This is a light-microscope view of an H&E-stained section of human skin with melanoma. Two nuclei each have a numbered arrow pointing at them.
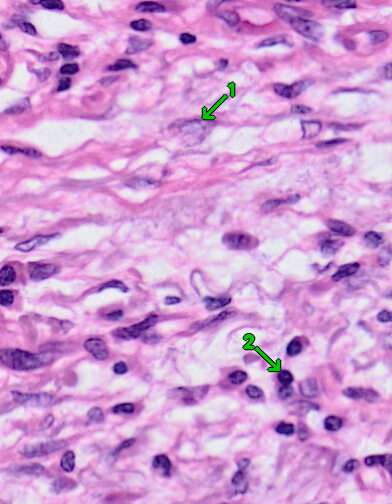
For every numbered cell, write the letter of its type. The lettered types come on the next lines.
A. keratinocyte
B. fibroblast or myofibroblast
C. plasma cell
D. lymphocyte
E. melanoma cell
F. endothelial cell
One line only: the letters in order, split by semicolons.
B; C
